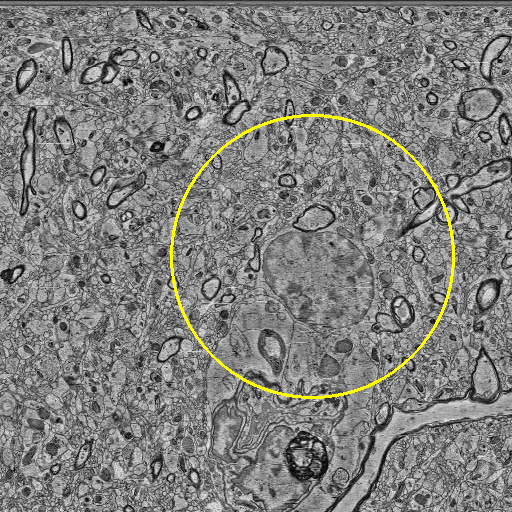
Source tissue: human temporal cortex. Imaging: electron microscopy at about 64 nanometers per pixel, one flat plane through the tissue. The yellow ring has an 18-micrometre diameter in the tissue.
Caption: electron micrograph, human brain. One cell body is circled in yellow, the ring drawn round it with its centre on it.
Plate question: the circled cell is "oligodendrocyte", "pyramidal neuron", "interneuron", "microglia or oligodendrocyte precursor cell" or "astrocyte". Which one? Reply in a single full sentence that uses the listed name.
The yellow ring on the plate is centred on an oligodendrocyte, going by the listed names.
